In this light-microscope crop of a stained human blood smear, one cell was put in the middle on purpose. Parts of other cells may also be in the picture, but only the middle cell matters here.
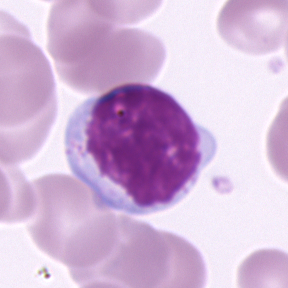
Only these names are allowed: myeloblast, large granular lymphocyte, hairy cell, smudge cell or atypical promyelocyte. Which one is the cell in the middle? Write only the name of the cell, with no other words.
large granular lymphocyte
